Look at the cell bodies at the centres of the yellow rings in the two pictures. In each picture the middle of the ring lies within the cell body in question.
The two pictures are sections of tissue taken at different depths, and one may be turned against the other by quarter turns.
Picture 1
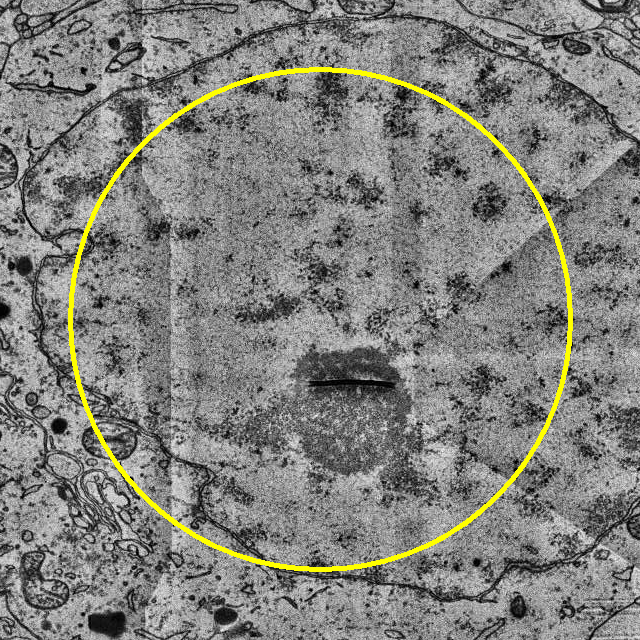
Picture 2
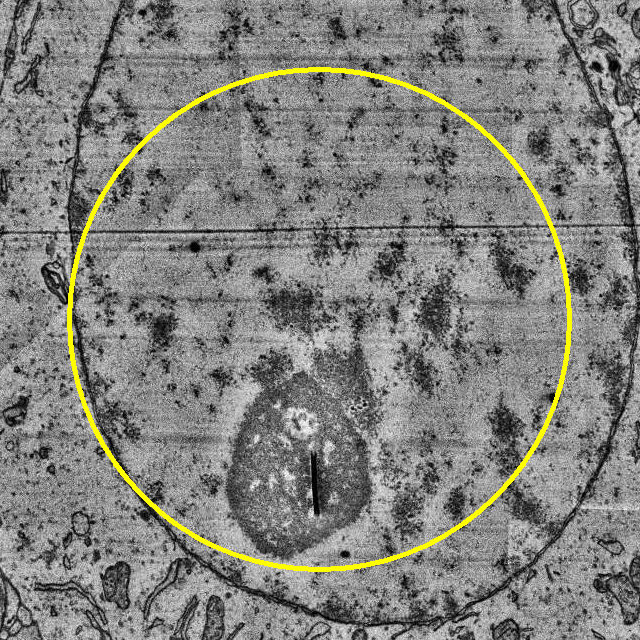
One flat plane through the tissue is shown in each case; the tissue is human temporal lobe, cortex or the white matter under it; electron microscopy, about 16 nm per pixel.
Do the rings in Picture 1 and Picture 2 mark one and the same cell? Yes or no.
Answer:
no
